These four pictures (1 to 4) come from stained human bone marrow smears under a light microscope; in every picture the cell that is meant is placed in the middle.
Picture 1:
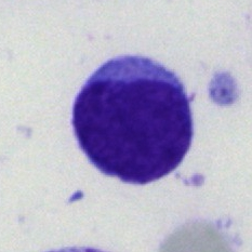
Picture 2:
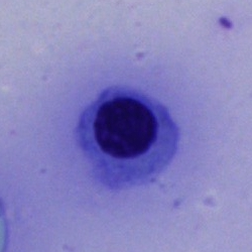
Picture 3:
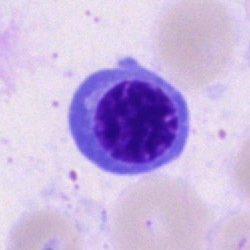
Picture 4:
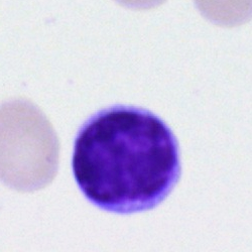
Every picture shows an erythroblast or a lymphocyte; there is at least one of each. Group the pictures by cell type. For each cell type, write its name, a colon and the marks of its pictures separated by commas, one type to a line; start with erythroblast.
erythroblast: 2, 3
lymphocyte: 1, 4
